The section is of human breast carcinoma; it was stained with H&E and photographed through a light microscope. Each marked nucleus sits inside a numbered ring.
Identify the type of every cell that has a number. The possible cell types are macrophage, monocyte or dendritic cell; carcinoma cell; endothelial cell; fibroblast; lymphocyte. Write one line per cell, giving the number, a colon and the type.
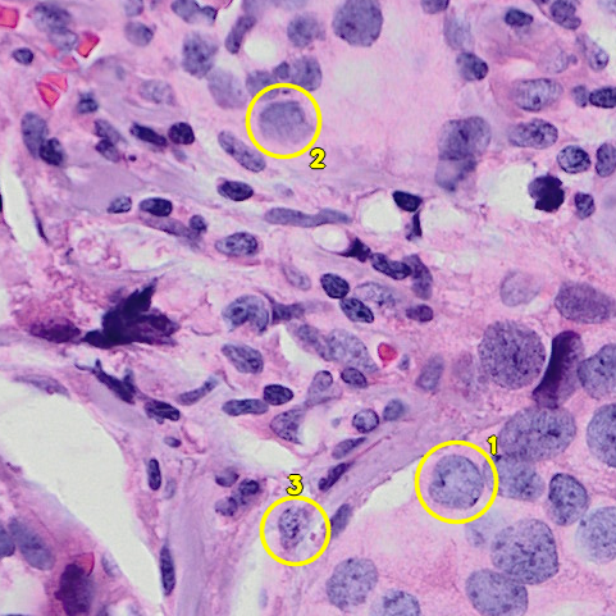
1: carcinoma cell
2: carcinoma cell
3: fibroblast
